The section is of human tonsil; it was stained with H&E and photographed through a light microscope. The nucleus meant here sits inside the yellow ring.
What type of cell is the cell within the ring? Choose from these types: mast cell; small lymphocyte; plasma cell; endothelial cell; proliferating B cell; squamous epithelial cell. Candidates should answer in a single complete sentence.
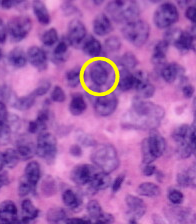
Assigned to a cell type, the cell within the ring is a proliferating B cell.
